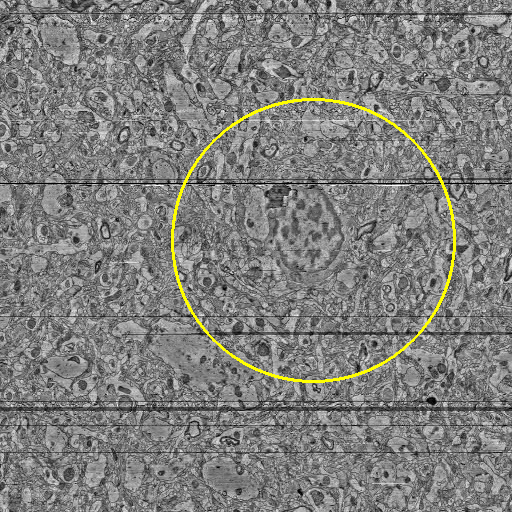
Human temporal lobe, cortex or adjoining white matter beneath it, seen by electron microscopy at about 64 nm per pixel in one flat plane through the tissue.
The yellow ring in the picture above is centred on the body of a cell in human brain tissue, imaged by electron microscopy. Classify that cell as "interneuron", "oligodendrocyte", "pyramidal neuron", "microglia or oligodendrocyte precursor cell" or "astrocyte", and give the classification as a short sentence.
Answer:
The cell in the middle of the ring is an oligodendrocyte.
